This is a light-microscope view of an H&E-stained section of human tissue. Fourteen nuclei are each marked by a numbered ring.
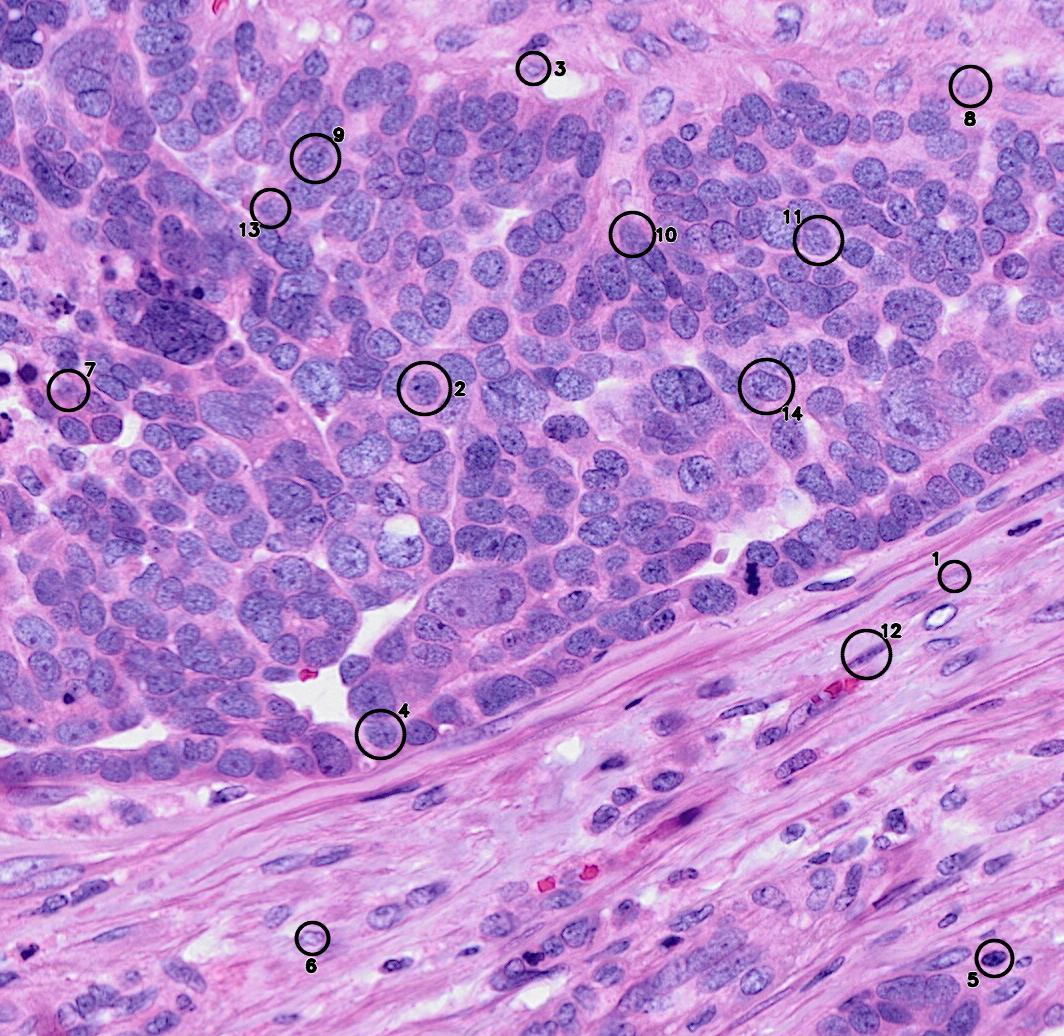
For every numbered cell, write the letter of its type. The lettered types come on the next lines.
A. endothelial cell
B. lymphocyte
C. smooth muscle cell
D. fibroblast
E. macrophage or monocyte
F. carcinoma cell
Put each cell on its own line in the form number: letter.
1: D
2: F
3: D
4: F
5: B
6: D
7: F
8: D
9: F
10: F
11: F
12: D
13: F
14: F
